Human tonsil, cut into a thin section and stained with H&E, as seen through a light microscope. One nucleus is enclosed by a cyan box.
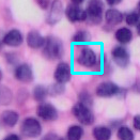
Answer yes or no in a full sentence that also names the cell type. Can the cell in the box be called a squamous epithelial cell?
No, the cell in the box is termed a small lymphocyte, not a squamous epithelial cell.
